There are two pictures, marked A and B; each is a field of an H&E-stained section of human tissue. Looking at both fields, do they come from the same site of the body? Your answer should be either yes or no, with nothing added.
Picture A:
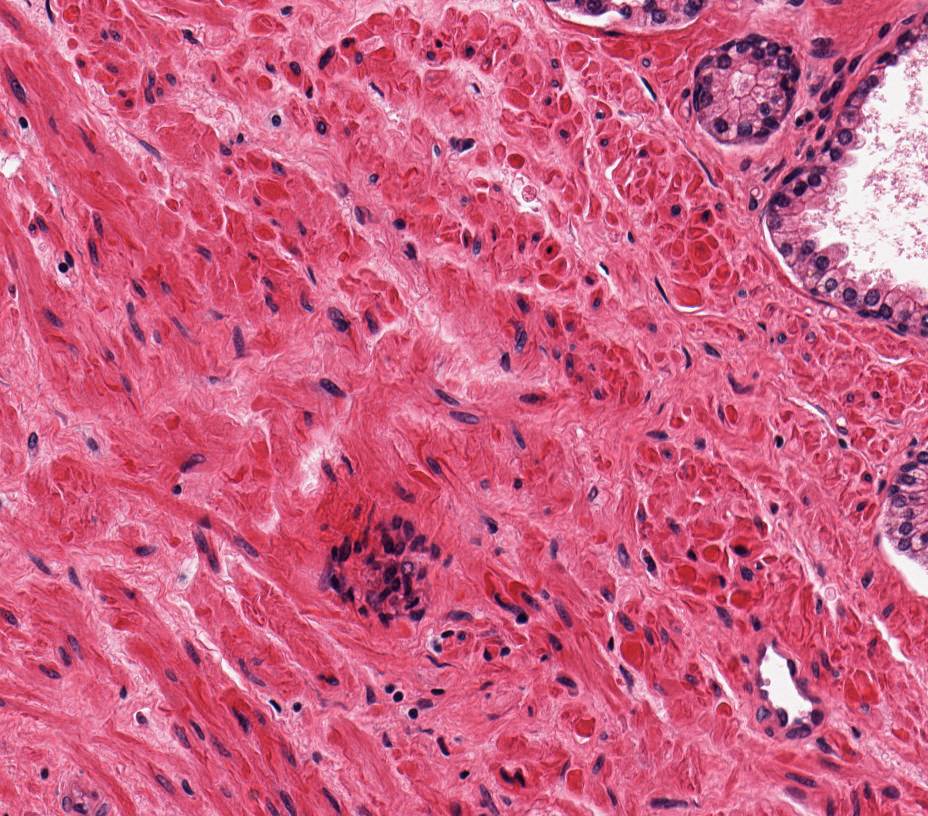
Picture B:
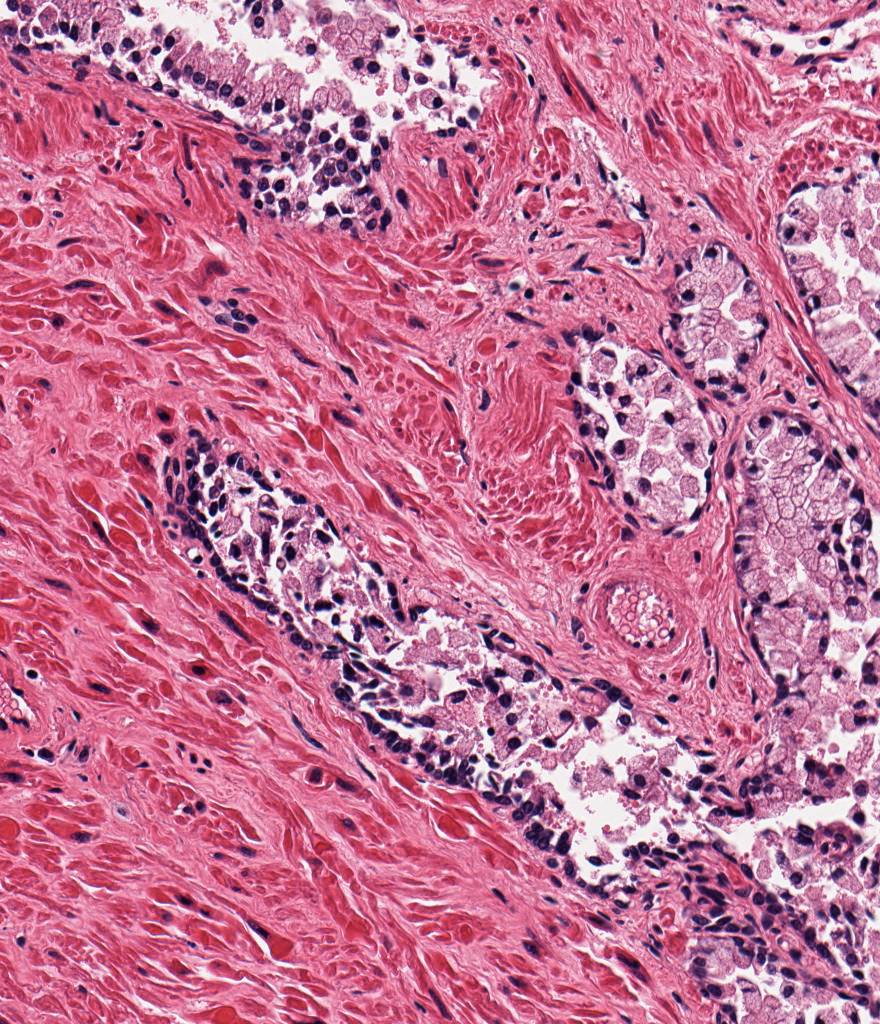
yes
